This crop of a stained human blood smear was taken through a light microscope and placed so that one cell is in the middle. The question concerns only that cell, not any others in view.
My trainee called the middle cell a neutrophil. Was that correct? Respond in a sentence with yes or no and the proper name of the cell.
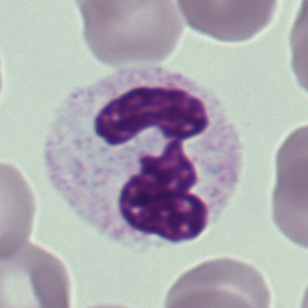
Yes, placed in the middle of the crop is a neutrophil.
